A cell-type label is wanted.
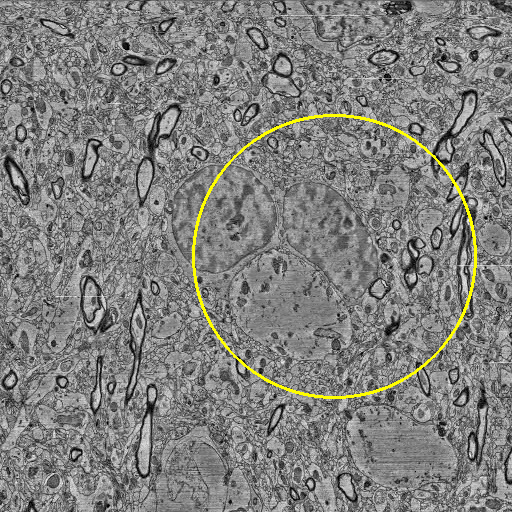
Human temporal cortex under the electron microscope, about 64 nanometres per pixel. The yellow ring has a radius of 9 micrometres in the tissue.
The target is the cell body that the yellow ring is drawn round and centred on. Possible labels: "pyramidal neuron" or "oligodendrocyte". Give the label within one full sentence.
Of the labels offered, the cell in the middle of the yellow ring is an oligodendrocyte.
